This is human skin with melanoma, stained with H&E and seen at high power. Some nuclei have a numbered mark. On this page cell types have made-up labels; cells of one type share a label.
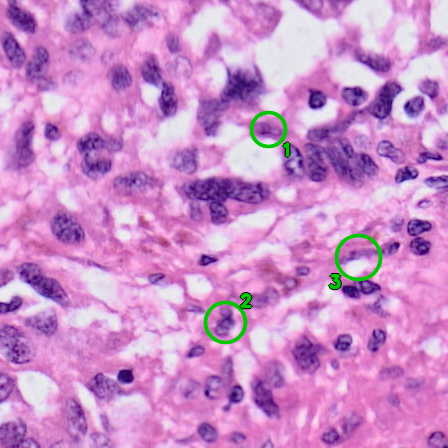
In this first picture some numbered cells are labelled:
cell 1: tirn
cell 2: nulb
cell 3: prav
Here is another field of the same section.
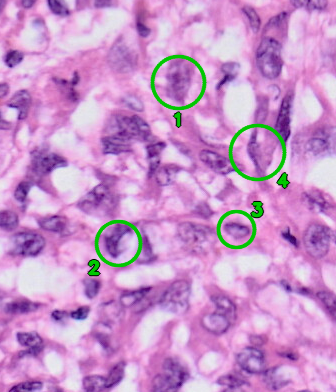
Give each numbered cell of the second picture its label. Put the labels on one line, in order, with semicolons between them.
tirn; tirn; nulb; tirn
